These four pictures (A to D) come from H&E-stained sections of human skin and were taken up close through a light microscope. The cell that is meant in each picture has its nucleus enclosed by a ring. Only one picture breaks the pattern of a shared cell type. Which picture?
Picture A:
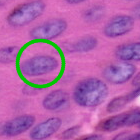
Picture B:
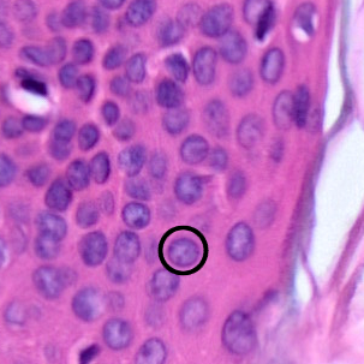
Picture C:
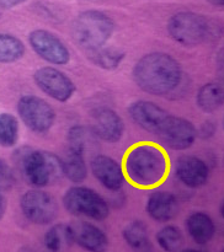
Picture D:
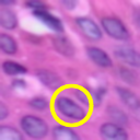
D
